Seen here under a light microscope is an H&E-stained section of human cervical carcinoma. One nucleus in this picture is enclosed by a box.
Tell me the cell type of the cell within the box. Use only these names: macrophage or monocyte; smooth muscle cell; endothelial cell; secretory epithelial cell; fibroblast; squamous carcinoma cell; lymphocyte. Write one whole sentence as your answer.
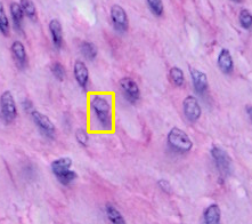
In this tissue section, the cell within the box is to be classed as a smooth muscle cell.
